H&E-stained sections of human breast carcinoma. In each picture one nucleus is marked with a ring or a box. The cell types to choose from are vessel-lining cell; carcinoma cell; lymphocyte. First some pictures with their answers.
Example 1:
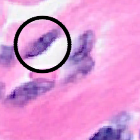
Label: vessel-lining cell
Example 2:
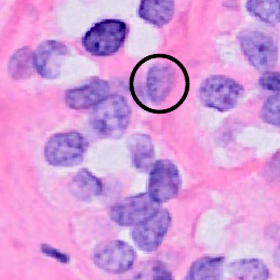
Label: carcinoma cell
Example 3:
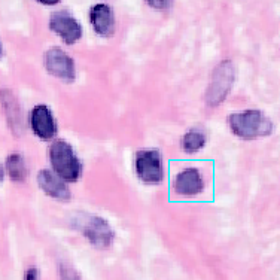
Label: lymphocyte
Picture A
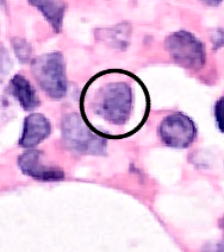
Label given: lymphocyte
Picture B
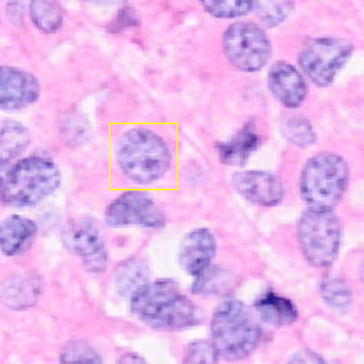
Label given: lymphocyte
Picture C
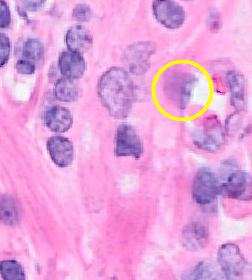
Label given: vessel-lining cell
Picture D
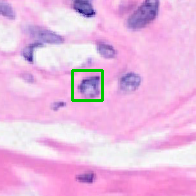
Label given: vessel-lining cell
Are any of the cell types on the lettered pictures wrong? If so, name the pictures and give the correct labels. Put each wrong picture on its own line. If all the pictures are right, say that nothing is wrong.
A should be carcinoma cell, not lymphocyte
B should be carcinoma cell, not lymphocyte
